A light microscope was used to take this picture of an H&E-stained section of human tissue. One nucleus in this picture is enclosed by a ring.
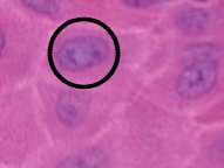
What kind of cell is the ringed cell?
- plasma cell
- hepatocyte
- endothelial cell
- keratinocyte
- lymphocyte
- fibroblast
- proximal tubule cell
keratinocyte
